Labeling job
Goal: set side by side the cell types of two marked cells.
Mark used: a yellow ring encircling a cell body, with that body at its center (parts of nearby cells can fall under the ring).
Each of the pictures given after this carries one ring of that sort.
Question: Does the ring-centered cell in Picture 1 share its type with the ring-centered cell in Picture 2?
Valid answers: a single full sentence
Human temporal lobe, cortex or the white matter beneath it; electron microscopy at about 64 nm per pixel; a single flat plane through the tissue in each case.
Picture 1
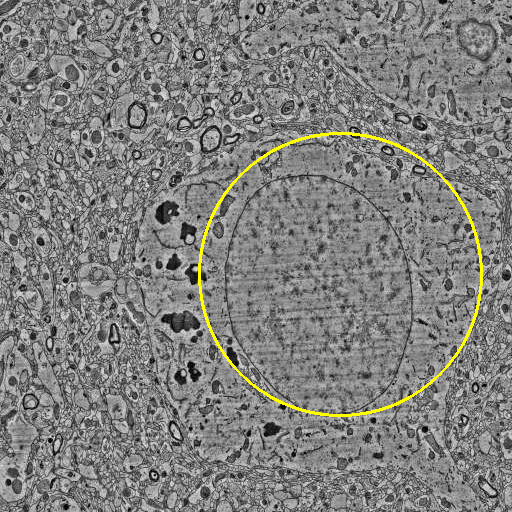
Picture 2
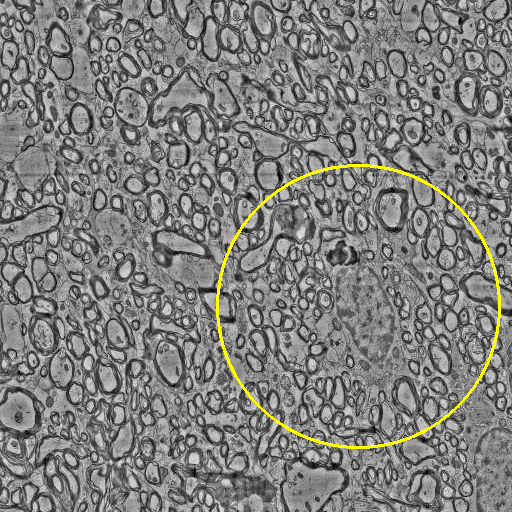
No, in Pictures 1 and 2 the cells at the ring centers have separate types.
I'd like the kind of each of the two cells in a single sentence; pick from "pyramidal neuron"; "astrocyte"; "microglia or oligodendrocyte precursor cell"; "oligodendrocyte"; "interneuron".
The first ring marks a pyramidal neuron, and the second ring marks an oligodendrocyte.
